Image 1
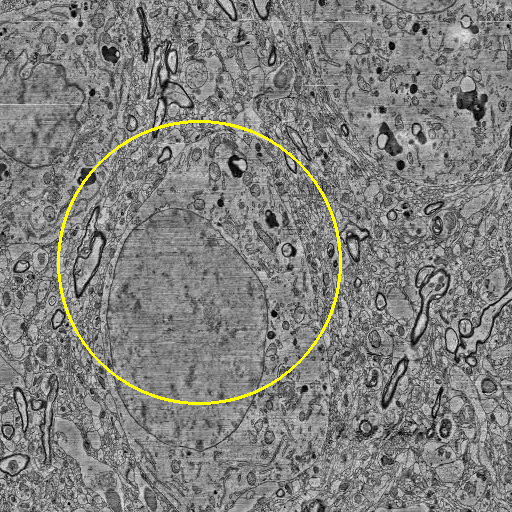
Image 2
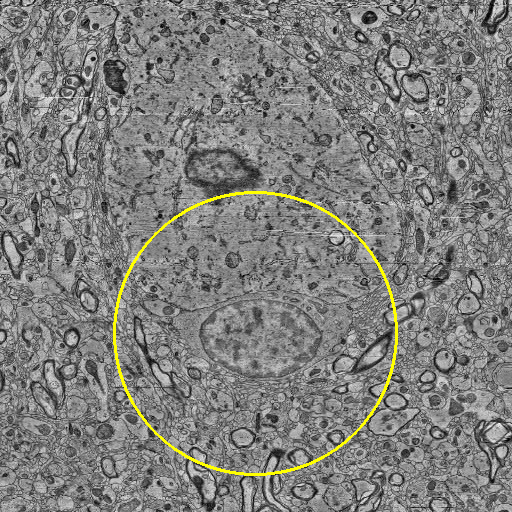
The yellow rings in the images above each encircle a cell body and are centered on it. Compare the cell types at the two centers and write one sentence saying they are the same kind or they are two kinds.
Taken together, the two cells at the ring centers are two kinds.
